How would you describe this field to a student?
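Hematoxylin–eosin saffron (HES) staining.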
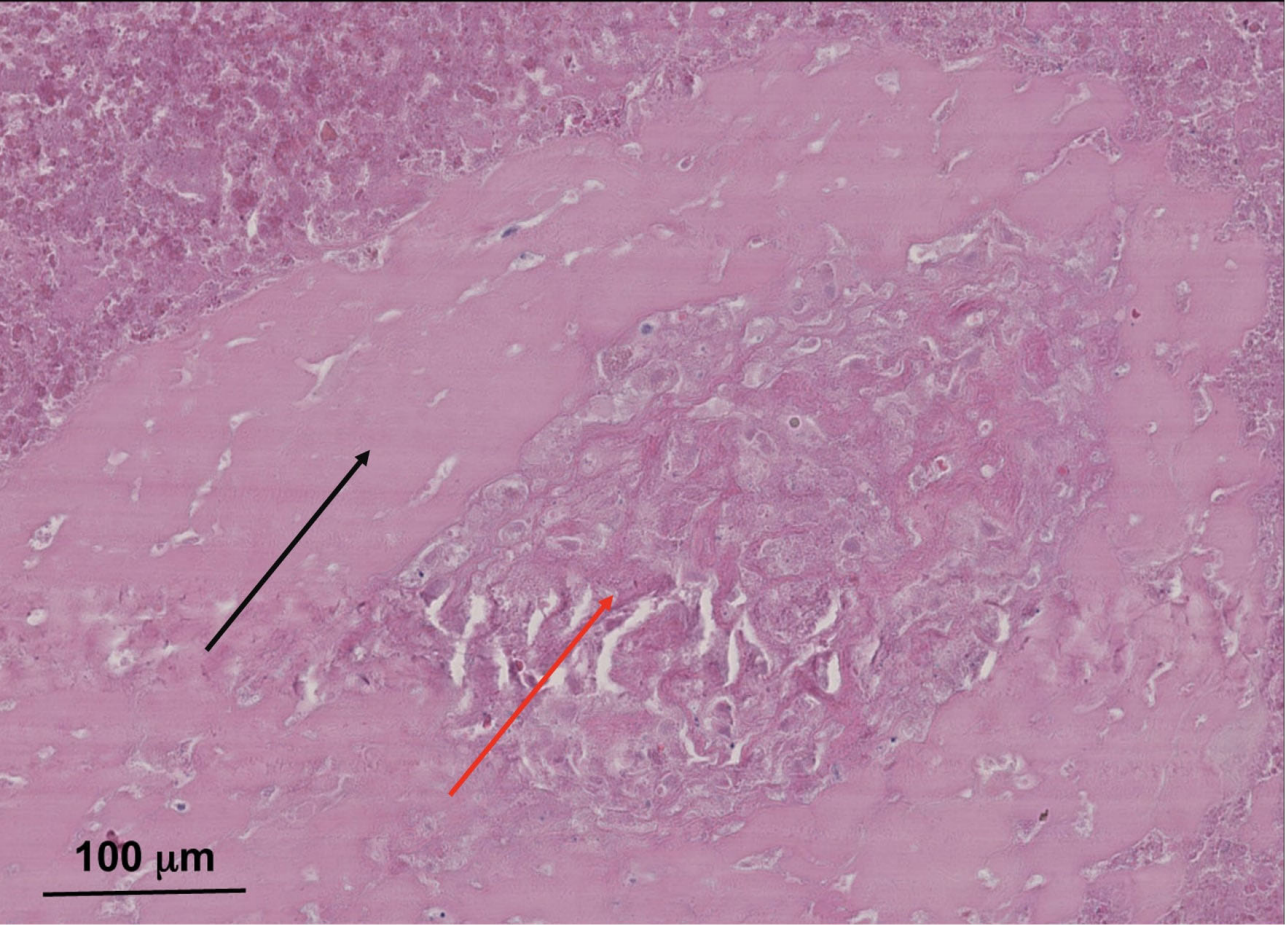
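This field shows necrotic soft tissue in which almost no intact cells can be made out. Broad, pale pink, homogeneous bands cross the field and contain only scattered empty slits and very few nuclei. In the middle lies a rounded, well-demarcated focus of more compact, fibrillar pink material, crossed by a row of narrow, clear, slit-like clefts. The upper left corner and the right edge hold coarse, granular, darker pink material that looks like debris. Nuclei stained blue are rare throughout, and no organised layers of living cells are seen.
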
